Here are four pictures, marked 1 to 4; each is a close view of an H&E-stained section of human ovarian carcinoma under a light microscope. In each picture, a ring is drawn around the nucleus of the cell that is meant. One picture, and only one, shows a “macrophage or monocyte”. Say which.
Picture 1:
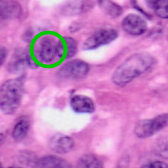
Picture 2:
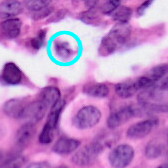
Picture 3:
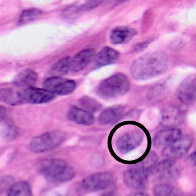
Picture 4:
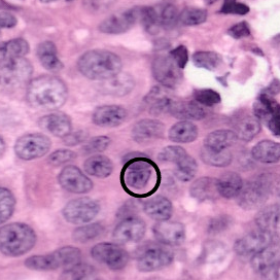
3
